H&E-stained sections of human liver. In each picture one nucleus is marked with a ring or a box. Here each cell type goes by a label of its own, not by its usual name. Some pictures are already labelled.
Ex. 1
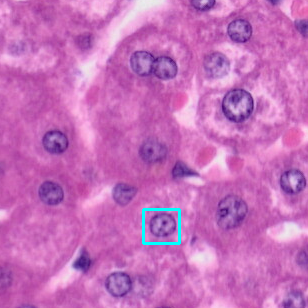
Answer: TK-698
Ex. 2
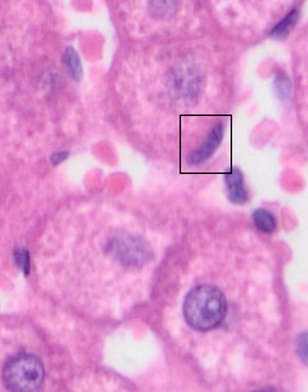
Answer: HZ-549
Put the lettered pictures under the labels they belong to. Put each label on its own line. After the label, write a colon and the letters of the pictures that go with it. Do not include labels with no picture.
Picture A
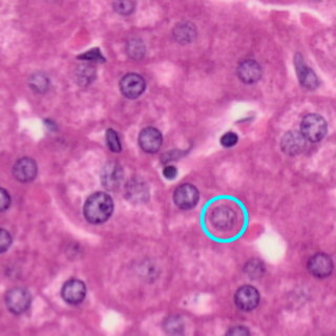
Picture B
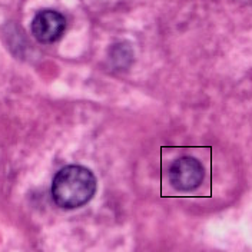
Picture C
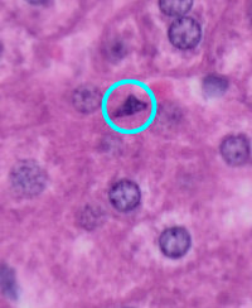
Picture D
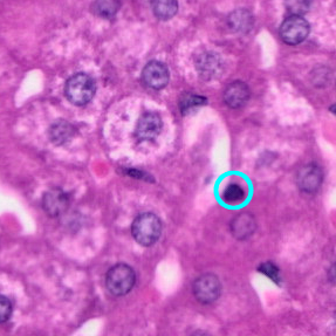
TK-698: A, B
HZ-549: C, D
